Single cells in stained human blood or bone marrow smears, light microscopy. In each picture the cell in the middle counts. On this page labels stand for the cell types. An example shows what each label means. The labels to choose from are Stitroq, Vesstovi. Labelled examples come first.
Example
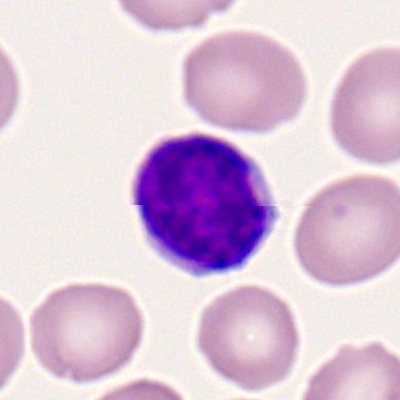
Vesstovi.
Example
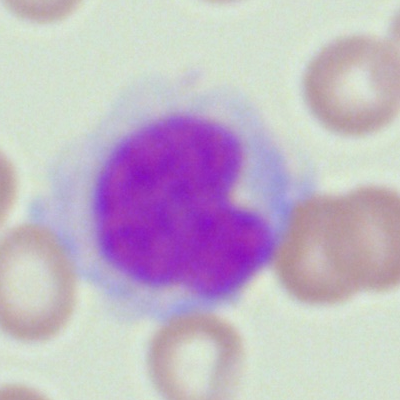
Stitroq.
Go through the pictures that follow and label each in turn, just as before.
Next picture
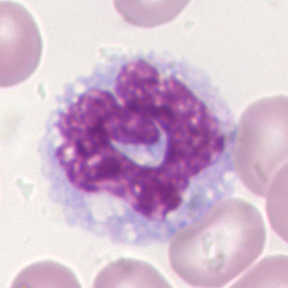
Stitroq.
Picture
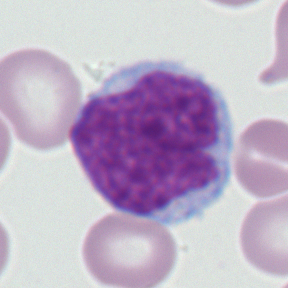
Stitroq.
